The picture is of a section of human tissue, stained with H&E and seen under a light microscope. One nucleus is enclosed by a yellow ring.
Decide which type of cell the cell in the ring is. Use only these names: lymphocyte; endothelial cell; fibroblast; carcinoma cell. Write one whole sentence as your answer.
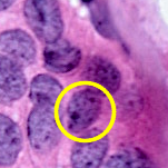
For the purposes of cell typing, the cell in the ring is categorized as a carcinoma cell.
